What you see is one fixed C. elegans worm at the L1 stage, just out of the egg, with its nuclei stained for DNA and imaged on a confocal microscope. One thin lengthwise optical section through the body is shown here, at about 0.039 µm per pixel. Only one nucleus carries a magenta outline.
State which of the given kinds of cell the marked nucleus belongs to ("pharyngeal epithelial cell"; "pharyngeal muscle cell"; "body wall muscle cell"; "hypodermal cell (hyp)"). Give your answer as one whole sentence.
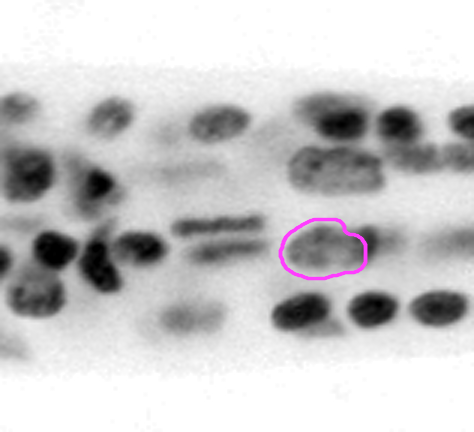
The nucleus comes from a pharyngeal muscle cell.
